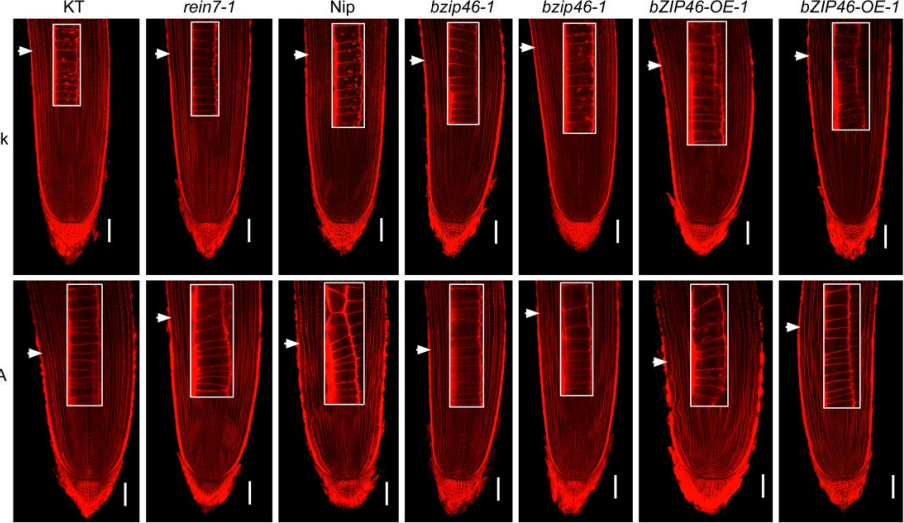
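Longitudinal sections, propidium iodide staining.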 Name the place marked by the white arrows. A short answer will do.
The proximal end of the root meristem.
